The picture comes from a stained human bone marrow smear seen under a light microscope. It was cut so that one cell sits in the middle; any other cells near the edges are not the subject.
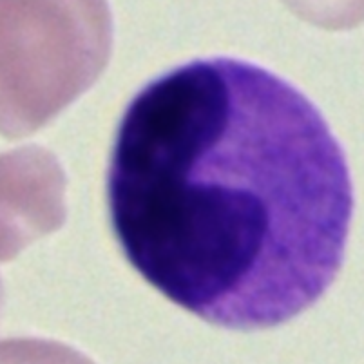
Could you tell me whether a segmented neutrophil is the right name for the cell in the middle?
no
